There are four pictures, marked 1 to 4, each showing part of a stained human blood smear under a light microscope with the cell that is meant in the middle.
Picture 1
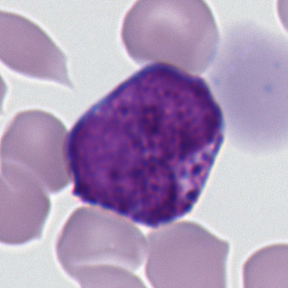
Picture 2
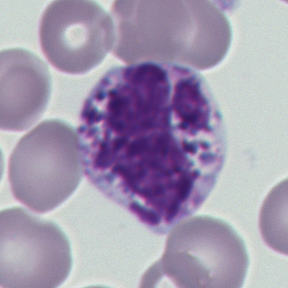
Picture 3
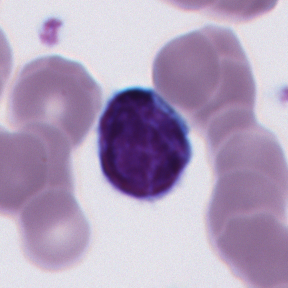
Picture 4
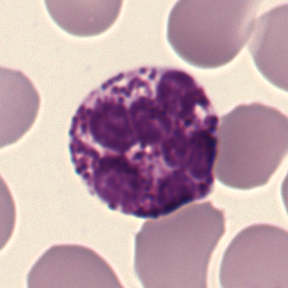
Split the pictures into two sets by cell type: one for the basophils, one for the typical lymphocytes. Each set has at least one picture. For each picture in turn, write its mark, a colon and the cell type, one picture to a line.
1: basophil
2: basophil
3: typical lymphocyte
4: basophil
